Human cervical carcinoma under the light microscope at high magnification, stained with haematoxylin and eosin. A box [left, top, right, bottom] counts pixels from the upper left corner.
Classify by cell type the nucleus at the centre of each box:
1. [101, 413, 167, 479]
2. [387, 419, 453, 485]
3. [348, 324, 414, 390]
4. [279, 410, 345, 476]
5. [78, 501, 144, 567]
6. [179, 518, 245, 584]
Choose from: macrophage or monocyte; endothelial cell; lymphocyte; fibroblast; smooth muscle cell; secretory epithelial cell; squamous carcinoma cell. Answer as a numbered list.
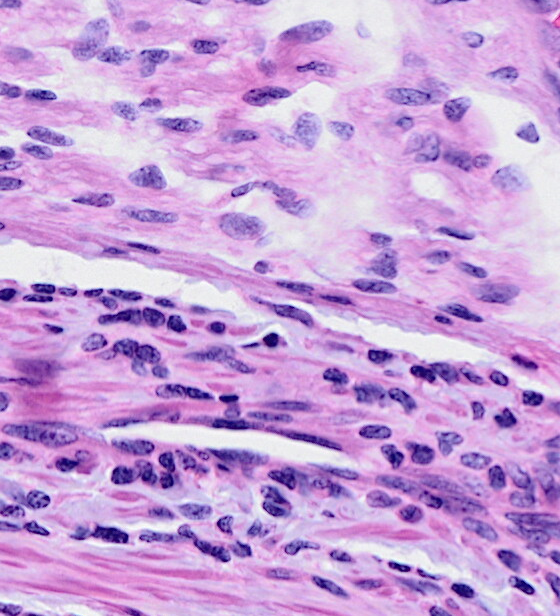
1. endothelial cell
2. lymphocyte
3. lymphocyte
4. endothelial cell
5. lymphocyte
6. lymphocyte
